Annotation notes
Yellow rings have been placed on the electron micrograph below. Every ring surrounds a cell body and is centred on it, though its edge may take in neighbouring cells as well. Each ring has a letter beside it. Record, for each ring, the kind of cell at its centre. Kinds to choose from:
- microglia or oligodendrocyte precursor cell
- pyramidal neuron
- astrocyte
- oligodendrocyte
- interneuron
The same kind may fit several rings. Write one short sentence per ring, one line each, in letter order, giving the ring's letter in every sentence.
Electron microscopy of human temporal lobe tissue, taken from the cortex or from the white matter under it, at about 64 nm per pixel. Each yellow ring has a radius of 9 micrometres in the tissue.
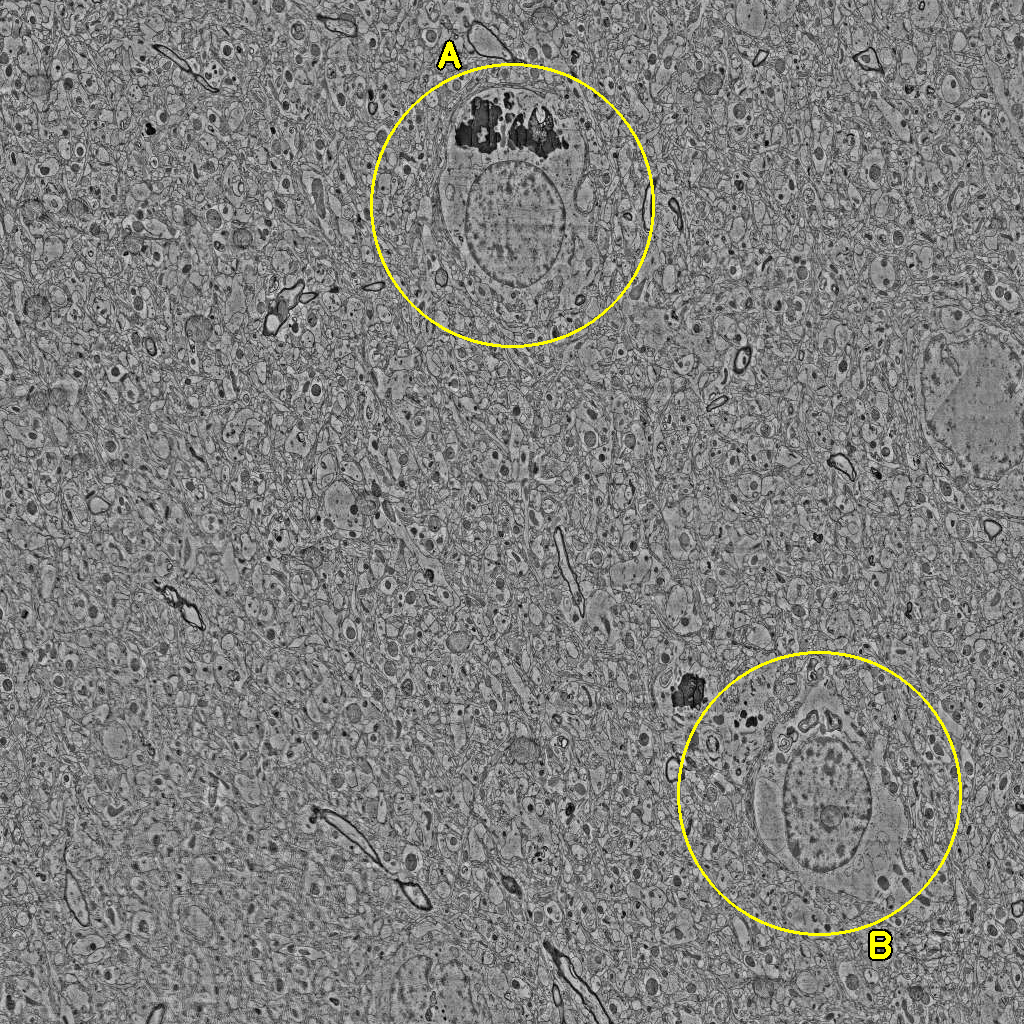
Ring A surrounds an astrocyte.
Ring B surrounds an astrocyte.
